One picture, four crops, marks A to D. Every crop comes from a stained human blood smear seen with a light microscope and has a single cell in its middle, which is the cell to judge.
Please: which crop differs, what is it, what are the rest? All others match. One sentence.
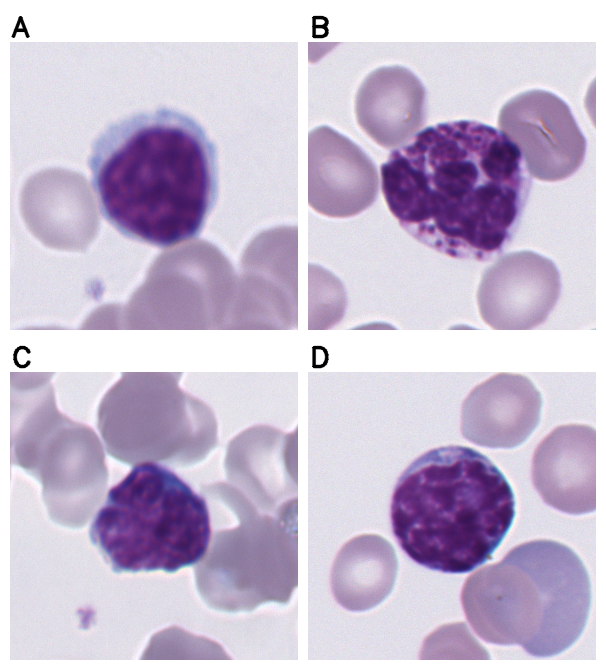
The single exception among the crops is crop B, which is a basophil; the rest show typical lymphocytes.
